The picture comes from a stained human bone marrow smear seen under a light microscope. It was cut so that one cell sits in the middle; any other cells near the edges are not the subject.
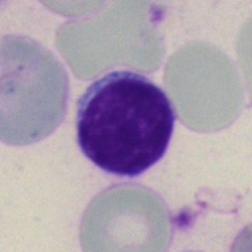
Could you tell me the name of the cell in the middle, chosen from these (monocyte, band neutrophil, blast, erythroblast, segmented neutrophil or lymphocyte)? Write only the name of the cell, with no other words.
lymphocyte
